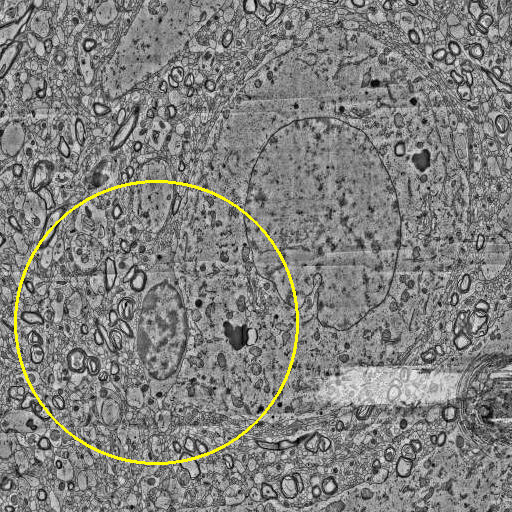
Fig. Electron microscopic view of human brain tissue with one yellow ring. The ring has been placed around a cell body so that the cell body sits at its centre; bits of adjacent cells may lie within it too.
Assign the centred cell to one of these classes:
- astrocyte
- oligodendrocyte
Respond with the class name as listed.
oligodendrocyte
